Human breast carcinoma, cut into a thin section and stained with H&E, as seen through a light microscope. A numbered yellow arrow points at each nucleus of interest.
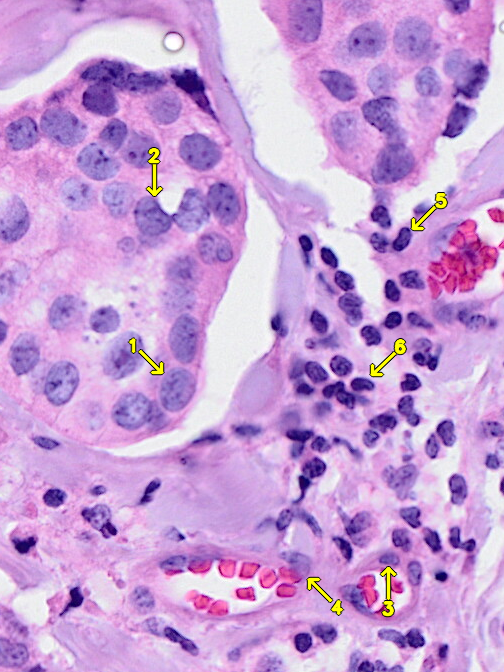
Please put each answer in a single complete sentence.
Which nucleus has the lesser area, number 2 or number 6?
Nucleus 6 covers less area, with nucleus 2 about 3 times as large.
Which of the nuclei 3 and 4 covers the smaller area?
It is nucleus 3; nucleus 4 has about 2.5 times its area.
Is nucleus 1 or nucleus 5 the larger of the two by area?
Number 1 is larger; its area is about 3 times that of number 5.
